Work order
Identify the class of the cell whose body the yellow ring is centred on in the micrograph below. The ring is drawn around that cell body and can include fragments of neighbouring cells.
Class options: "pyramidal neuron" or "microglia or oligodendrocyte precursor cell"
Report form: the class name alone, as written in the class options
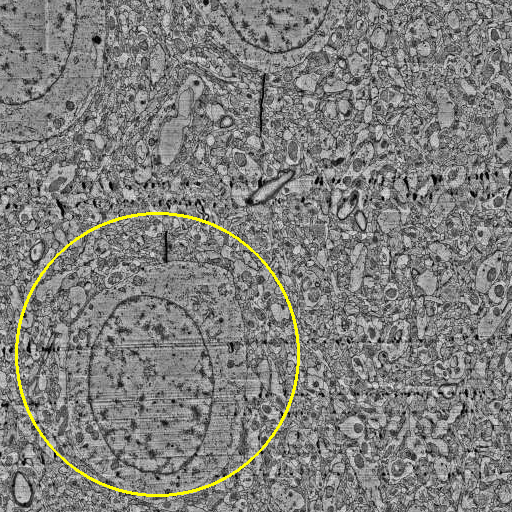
pyramidal neuron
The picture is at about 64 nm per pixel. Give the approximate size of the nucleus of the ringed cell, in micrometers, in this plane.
In this plane the nucleus spans approximately 12 by 8 micrometers.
